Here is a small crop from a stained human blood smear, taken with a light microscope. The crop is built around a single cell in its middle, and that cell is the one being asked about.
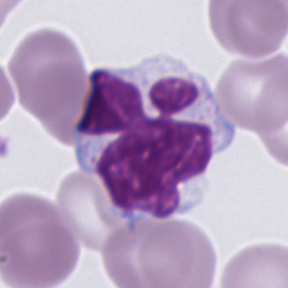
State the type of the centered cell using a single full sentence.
The cell nearest the centre of this crop is a large granular lymphocyte.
